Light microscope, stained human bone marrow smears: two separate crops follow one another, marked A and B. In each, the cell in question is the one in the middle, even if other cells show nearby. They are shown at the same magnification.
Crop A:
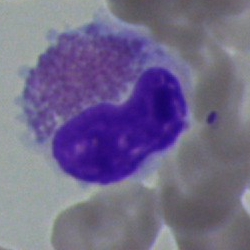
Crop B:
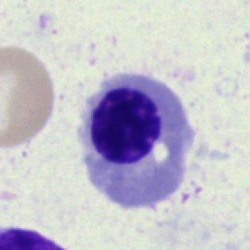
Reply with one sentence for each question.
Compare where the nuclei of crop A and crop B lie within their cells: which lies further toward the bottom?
The nucleus in crop A lies further toward the bottom of its cell.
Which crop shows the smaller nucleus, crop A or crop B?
Crop B shows the smaller nucleus, since that in crop A covers about 2.5 times as much area.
